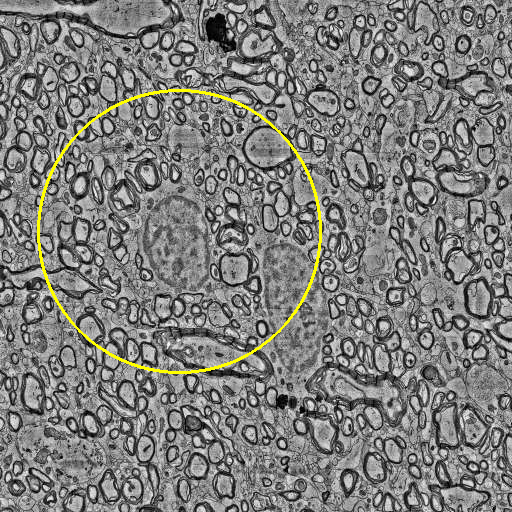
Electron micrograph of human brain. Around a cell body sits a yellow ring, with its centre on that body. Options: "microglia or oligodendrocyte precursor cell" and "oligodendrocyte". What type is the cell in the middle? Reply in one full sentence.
The cell sitting at the centre of the yellow ring is an oligodendrocyte.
